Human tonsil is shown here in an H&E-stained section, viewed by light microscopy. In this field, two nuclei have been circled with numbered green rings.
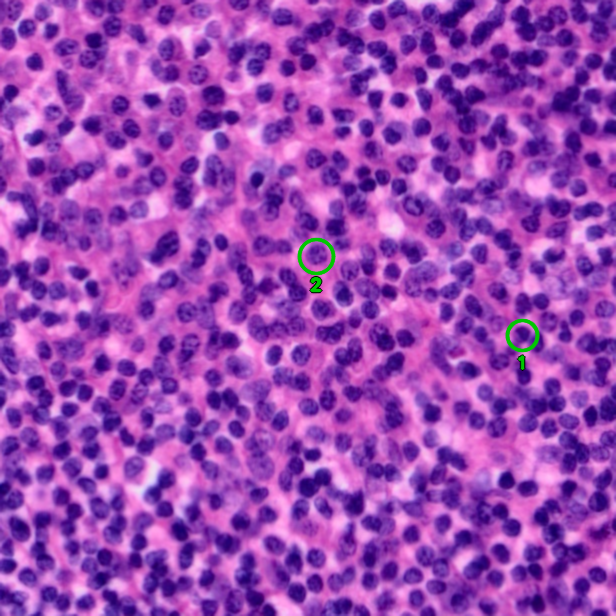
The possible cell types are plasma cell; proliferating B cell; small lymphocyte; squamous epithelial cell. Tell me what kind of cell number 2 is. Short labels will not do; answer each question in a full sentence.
Among the marked cells, number 2 is a plasma cell.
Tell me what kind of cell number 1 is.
Numbered cell 1 is a small lymphocyte in this tissue section.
